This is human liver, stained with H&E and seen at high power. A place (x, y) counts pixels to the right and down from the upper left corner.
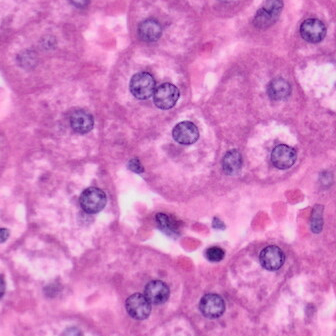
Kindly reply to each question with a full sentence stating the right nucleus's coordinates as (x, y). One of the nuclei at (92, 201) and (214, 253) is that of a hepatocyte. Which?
The nucleus at (92, 201) is the member of the pair belonging to a hepatocyte.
